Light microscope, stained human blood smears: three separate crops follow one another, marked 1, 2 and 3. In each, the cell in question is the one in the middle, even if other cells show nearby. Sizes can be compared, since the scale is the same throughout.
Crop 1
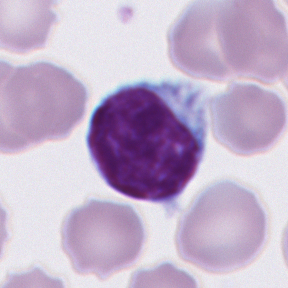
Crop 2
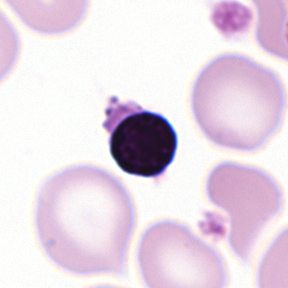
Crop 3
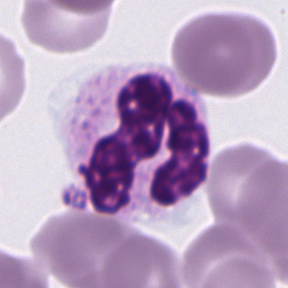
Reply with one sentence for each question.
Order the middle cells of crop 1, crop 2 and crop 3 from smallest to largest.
The order is 2, 1, 3, beginning with the smallest.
